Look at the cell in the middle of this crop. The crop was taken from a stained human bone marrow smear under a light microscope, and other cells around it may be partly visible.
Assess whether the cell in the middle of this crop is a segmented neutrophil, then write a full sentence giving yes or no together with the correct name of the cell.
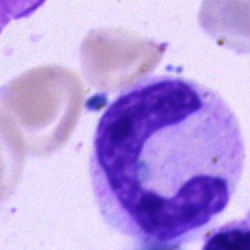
No, the correct answer for the middle cell is a band neutrophil, not a segmented neutrophil.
